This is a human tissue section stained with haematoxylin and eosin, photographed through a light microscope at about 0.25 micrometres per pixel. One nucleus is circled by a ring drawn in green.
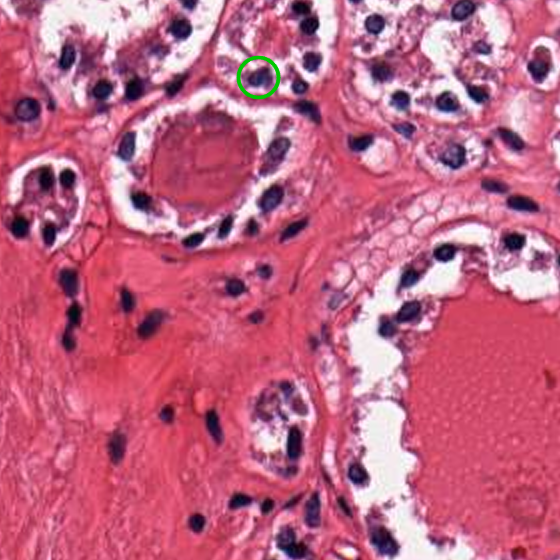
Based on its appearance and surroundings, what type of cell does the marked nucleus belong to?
thyroid follicular cell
